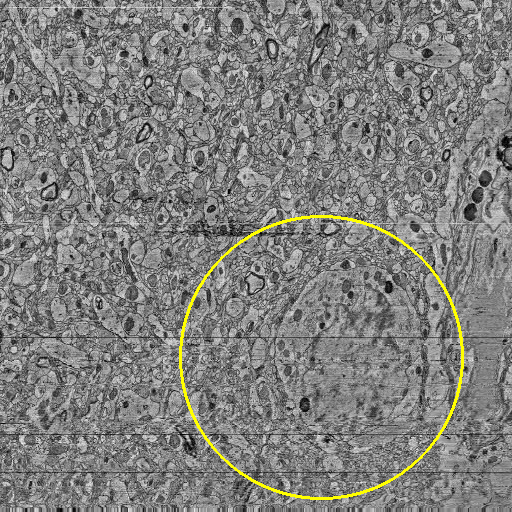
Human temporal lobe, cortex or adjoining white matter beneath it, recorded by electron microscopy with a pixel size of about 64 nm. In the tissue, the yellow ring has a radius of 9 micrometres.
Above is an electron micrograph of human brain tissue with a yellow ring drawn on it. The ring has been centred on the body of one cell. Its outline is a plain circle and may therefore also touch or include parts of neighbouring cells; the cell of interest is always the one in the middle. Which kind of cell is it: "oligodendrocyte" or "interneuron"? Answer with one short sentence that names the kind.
The ring's central cell body is that of an interneuron.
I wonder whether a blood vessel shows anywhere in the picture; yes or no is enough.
Yes, the image shows a blood vessel.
